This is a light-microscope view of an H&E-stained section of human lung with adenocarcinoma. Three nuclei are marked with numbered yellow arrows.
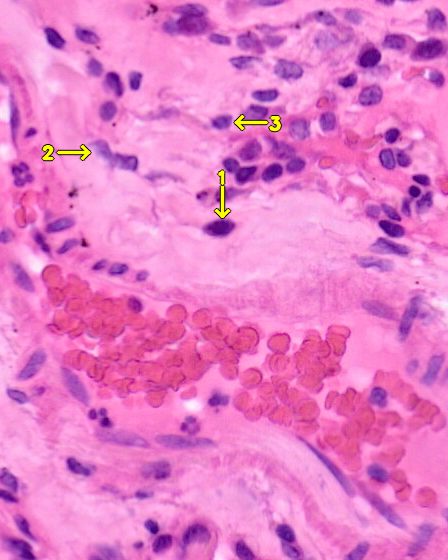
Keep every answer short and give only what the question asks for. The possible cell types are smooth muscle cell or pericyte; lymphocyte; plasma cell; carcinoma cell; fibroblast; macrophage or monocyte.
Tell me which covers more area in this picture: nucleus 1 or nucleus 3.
1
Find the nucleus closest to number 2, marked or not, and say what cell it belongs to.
fibroblast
